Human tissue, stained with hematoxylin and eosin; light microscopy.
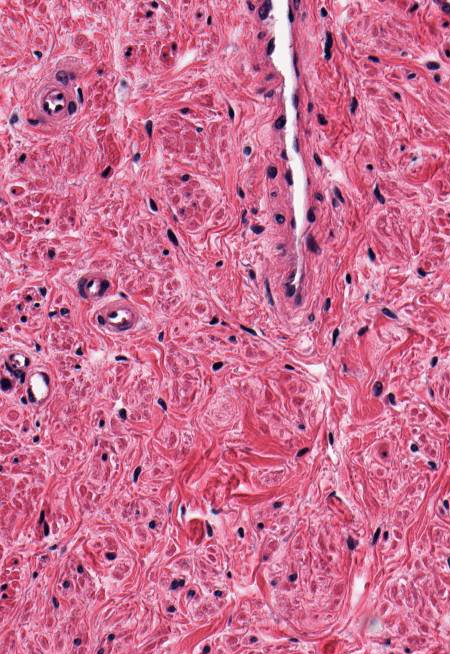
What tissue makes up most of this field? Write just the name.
dense connective tissue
